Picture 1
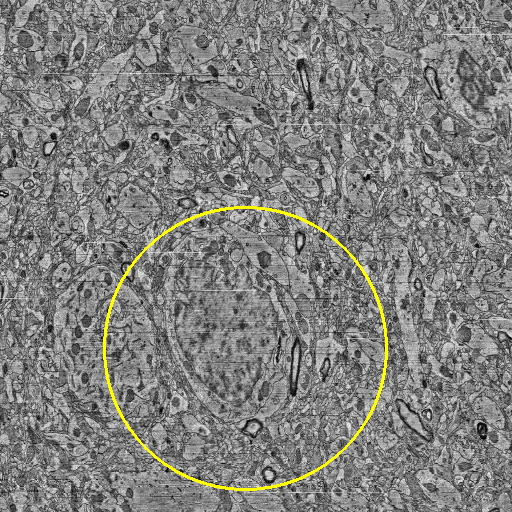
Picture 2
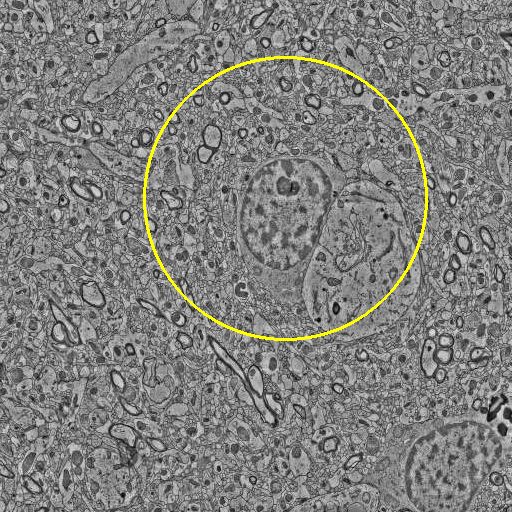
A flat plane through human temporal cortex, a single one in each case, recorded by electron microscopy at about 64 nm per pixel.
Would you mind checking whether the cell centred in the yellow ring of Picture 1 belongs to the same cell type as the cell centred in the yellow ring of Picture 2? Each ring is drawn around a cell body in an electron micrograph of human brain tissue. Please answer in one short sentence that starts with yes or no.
No, the two cells are of two types.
